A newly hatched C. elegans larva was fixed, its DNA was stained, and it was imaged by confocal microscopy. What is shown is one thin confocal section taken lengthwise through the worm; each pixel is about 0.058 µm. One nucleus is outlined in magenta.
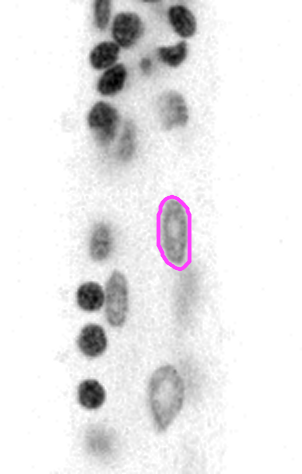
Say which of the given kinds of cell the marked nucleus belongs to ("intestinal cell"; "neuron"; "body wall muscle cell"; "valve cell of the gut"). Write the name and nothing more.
intestinal cell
